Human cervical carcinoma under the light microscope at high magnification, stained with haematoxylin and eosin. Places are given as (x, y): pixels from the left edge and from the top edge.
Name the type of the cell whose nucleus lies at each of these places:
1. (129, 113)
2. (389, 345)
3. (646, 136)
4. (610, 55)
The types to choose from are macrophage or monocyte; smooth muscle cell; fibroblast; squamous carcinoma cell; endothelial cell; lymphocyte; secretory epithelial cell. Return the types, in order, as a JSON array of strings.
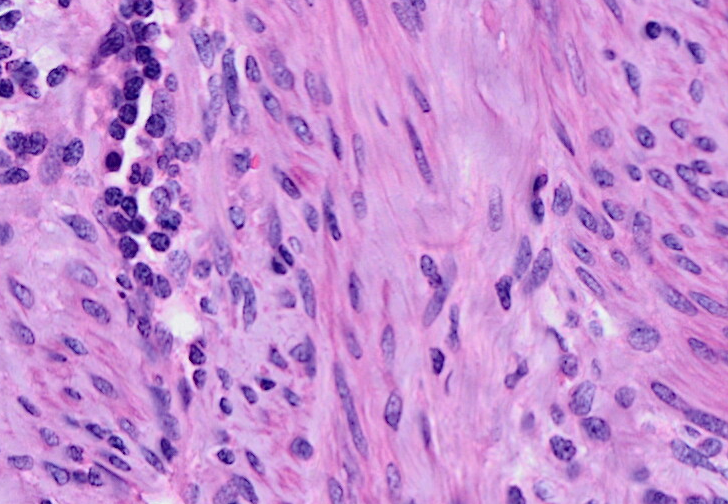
["lymphocyte", "smooth muscle cell", "smooth muscle cell", "smooth muscle cell"]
